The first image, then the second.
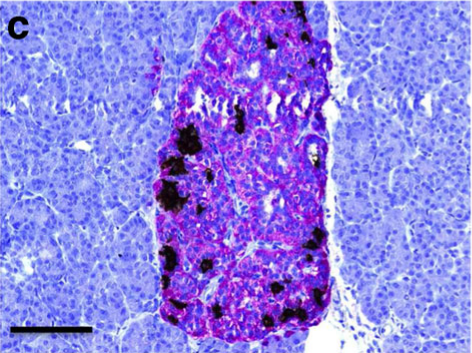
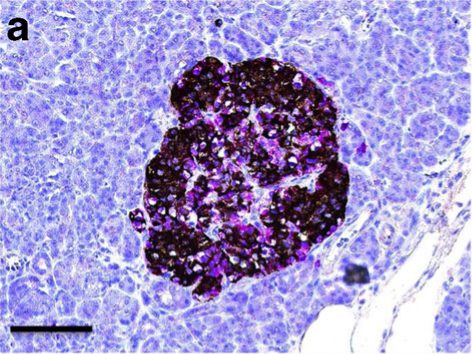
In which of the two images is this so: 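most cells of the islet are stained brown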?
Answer: the second image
